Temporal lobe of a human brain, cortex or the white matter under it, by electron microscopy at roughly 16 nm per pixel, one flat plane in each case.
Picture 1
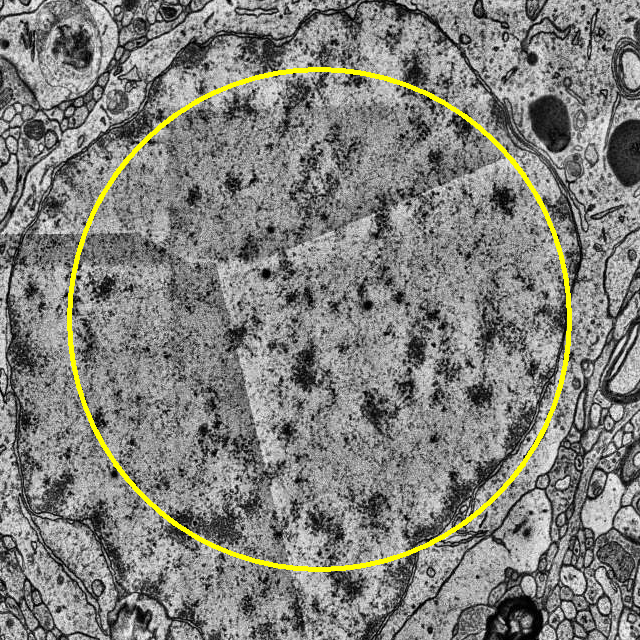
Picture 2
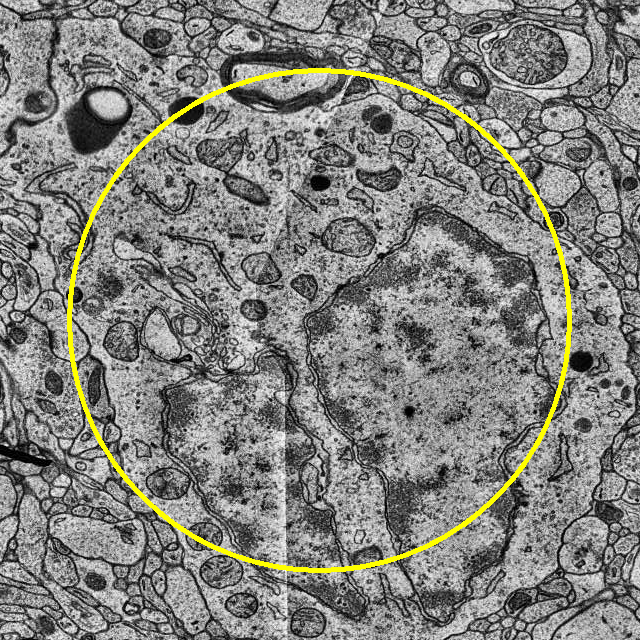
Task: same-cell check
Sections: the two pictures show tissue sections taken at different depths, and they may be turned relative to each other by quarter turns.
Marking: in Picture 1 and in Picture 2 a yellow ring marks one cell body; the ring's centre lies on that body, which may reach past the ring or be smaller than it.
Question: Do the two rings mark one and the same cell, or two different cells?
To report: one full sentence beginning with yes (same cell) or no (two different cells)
Yes, a single cell is the subject of both yellow rings.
